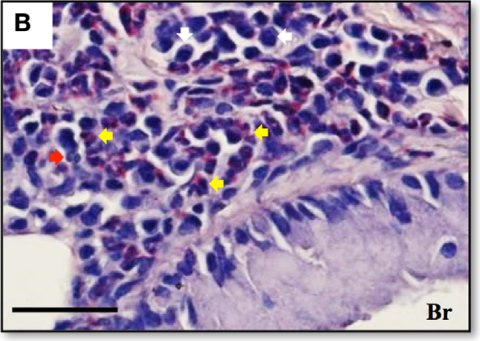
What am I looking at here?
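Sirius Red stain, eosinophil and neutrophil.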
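This is the wall of a small airway in the lung with a heavy inflammatory infiltrate packed into the tissue around it. The airway lining at the bottom is a tall columnar epithelium, and above it the tissue is crowded with small round cells with dark blue nuclei.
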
